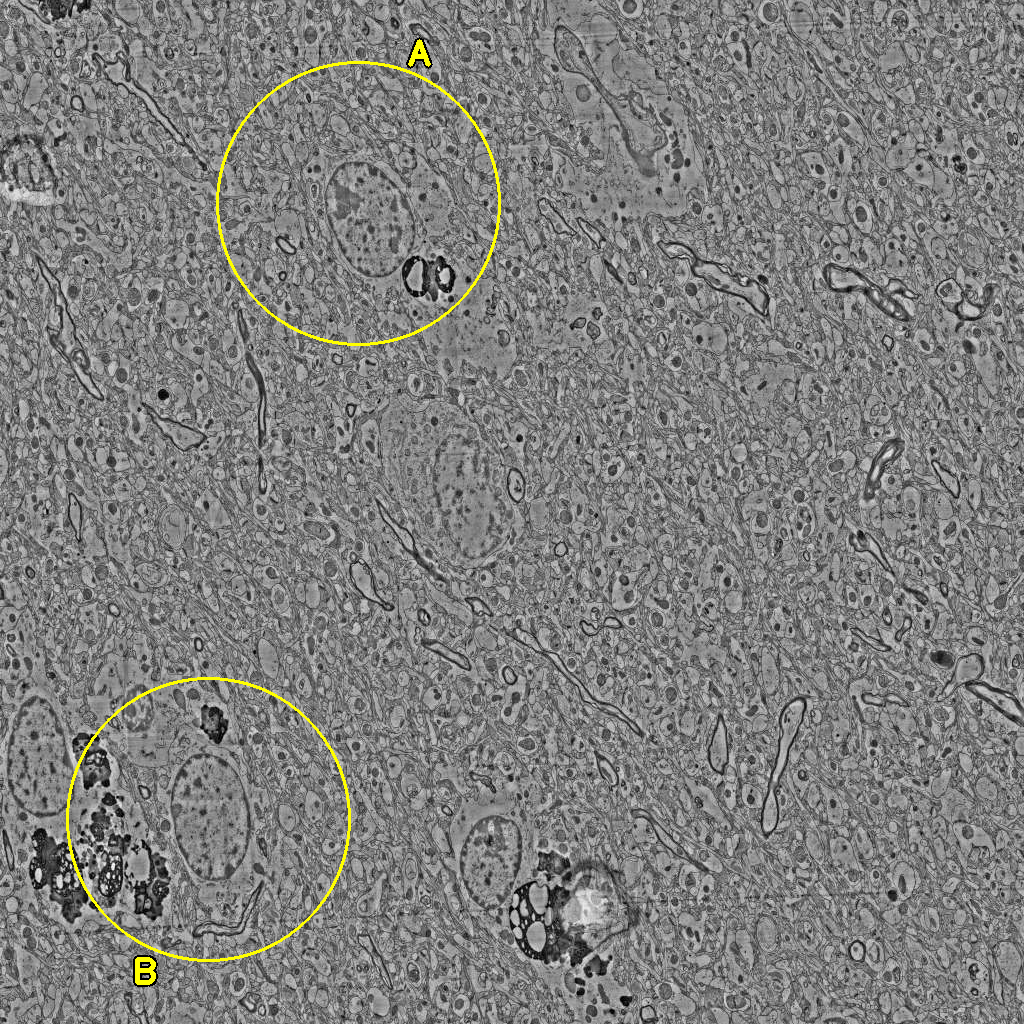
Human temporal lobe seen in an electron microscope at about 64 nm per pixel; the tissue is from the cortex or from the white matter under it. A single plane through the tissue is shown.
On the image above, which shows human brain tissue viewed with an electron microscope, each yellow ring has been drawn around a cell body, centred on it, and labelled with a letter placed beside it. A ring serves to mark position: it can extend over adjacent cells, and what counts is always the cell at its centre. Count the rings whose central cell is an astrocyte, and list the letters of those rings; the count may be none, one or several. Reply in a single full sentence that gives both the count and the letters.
Each of the rings lettered A and B is centred on an astrocyte, making two such rings.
